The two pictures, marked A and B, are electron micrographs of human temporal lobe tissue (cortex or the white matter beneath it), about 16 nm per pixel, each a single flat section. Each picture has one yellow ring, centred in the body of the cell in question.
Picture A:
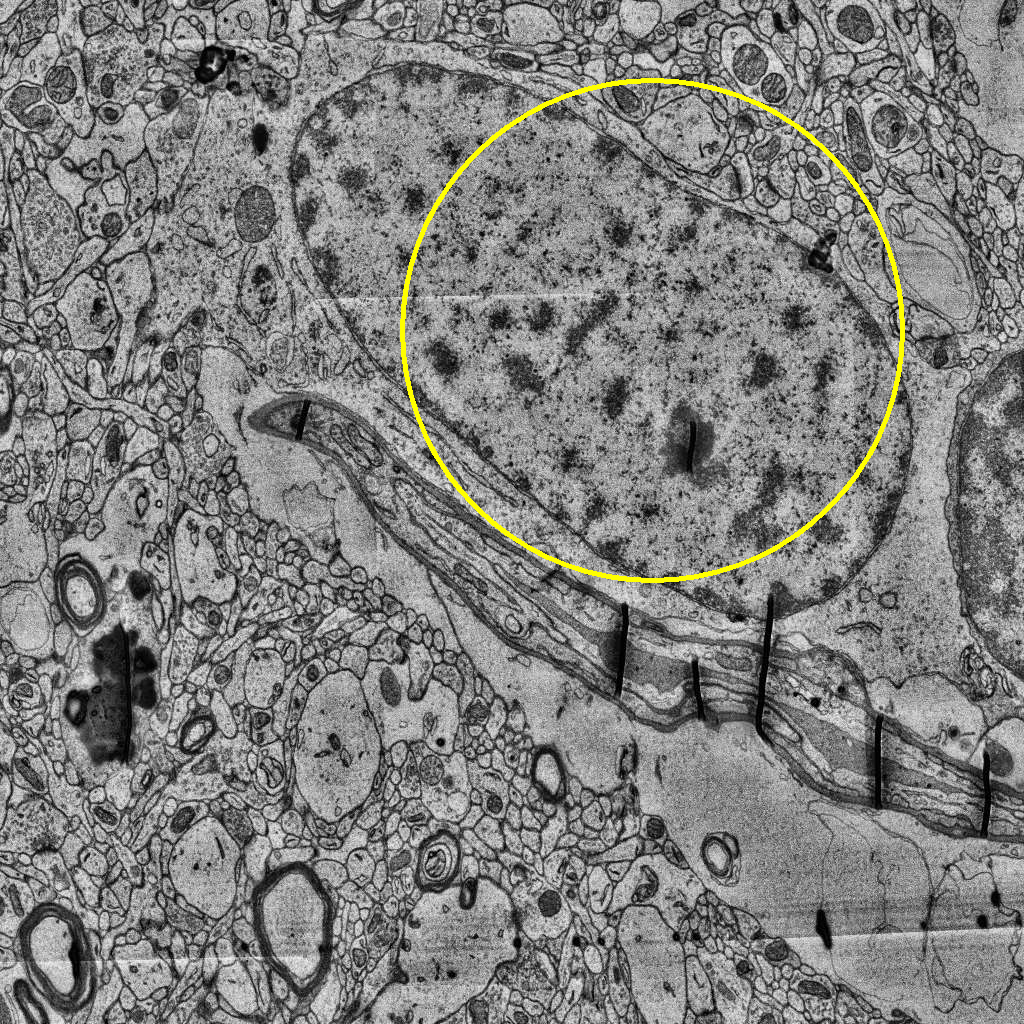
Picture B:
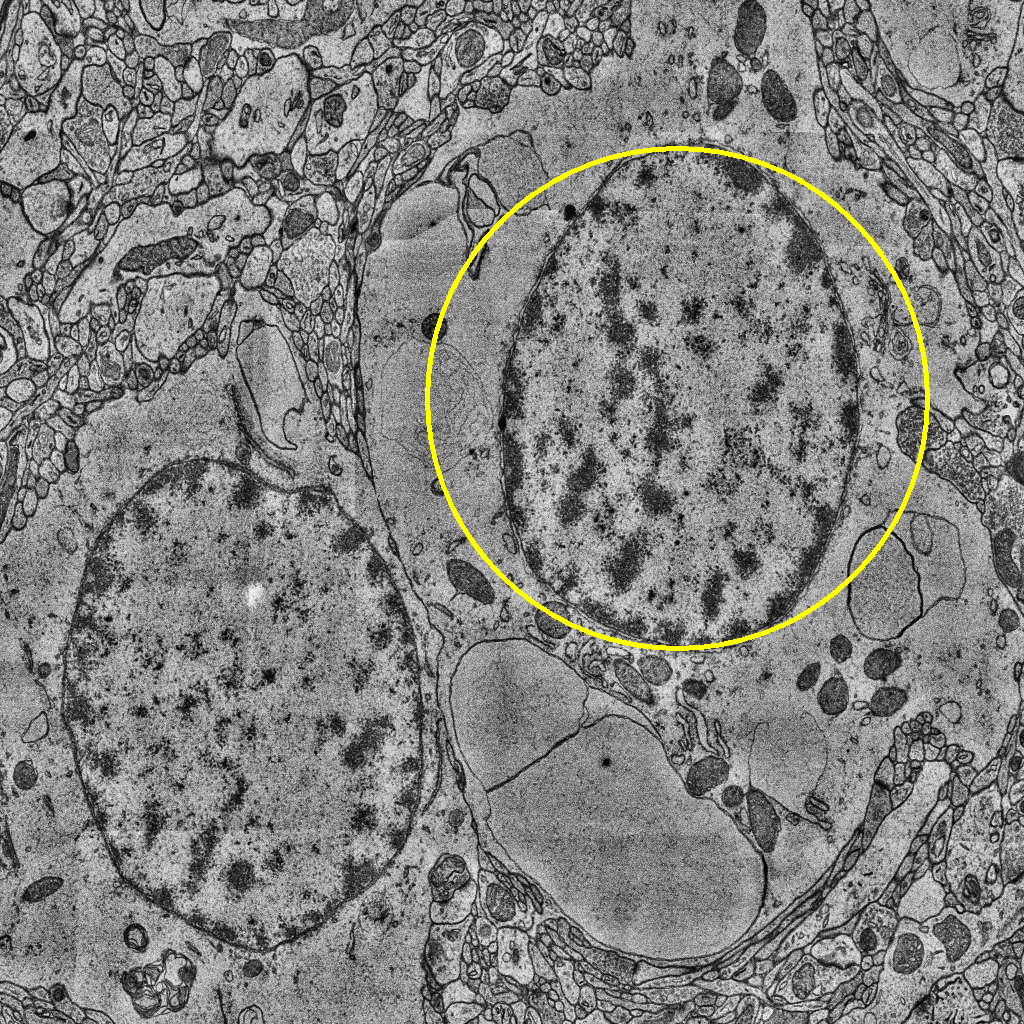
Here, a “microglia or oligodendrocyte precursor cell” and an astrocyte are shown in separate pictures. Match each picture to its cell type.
Picture A shows a “microglia or oligodendrocyte precursor cell” and picture B shows an astrocyte.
